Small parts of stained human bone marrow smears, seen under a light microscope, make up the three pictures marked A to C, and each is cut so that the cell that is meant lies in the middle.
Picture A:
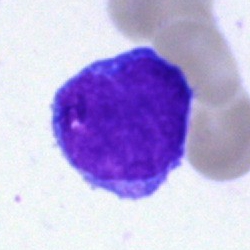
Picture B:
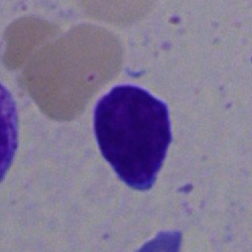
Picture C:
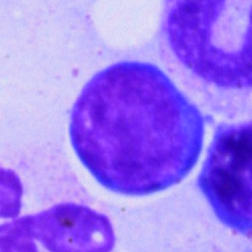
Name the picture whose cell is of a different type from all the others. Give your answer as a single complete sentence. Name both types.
The others show lymphocytes, but picture A shows a blast.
